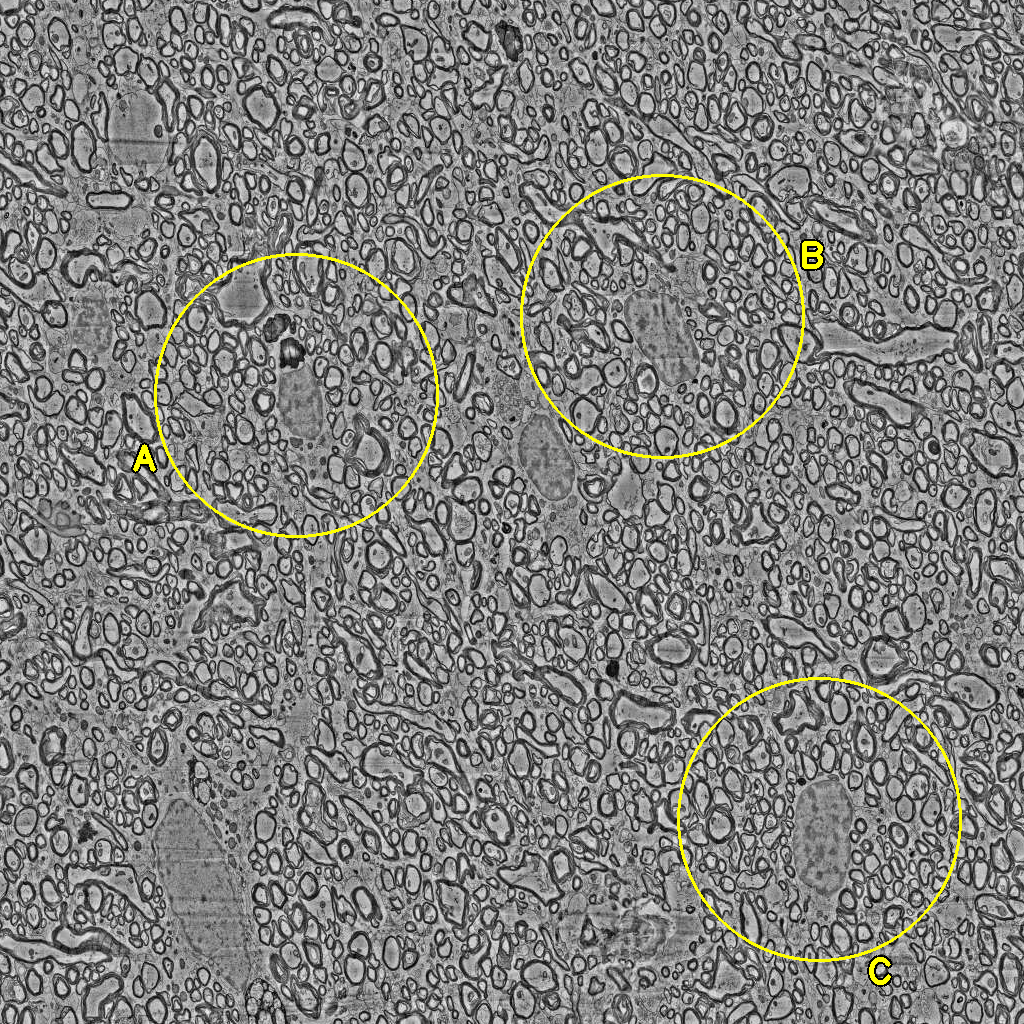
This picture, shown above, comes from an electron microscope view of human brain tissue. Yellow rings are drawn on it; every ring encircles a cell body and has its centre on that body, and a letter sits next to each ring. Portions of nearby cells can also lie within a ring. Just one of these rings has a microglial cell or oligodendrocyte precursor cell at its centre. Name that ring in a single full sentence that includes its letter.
In the picture, ring B has the cell asked for at its centre.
